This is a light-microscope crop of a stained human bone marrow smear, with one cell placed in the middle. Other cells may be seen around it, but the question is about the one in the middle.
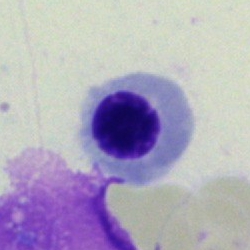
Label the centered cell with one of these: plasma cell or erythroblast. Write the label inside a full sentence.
This crop's central cell is an erythroblast.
